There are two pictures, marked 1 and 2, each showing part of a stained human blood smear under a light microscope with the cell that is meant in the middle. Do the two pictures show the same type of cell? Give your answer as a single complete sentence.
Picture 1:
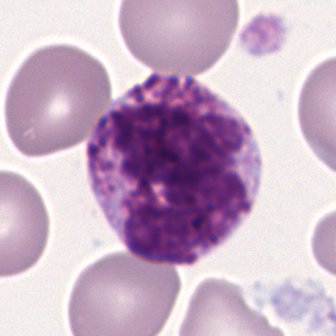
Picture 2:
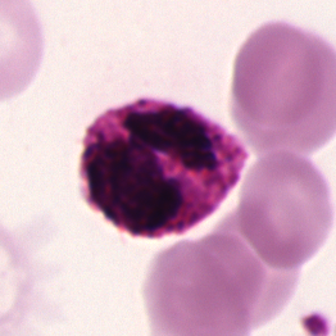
Yes; the cells in both pictures are basophils.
